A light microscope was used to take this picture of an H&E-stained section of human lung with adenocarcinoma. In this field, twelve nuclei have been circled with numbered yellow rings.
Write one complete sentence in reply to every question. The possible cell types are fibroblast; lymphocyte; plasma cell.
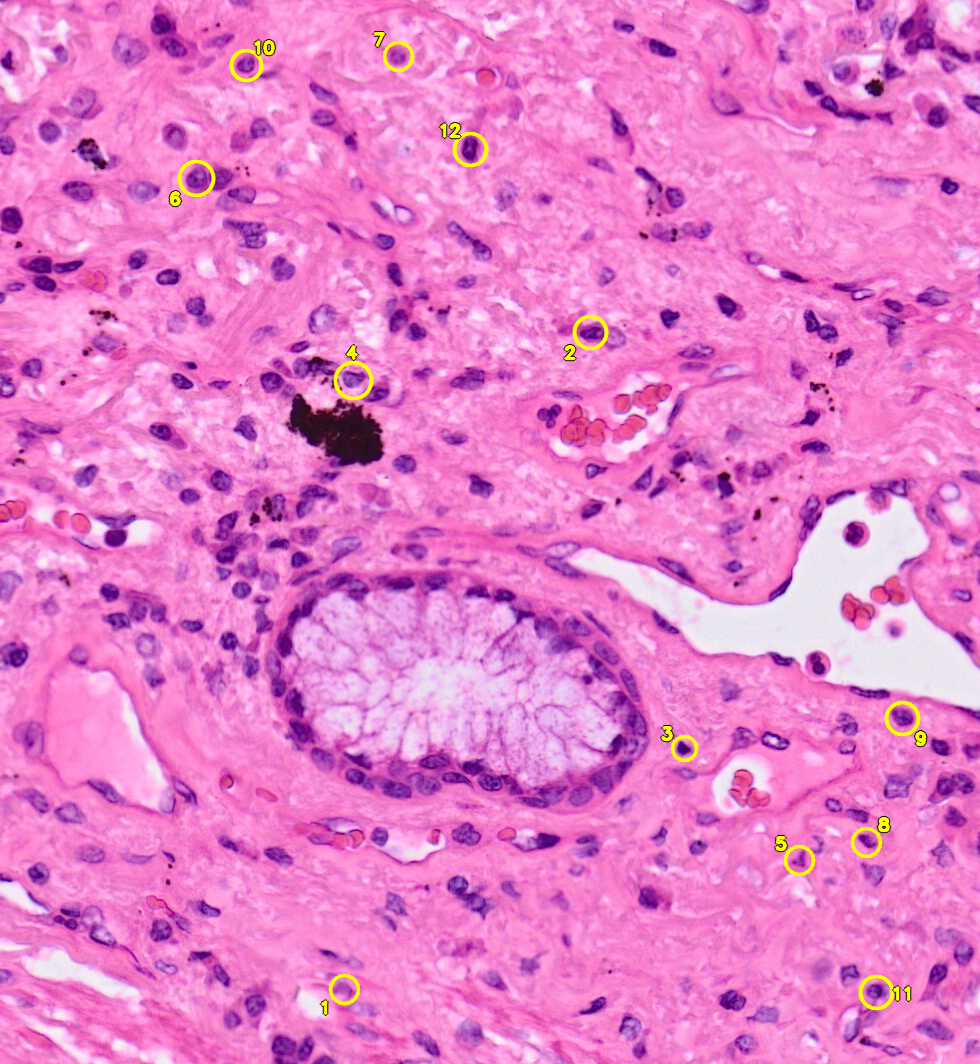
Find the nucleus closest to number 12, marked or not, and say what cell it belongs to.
The nearest nucleus to number 12 belongs to a fibroblast.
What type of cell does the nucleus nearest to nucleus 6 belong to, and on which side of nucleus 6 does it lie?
It is a plasma cell, whose nucleus lies to the right of nucleus 6.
